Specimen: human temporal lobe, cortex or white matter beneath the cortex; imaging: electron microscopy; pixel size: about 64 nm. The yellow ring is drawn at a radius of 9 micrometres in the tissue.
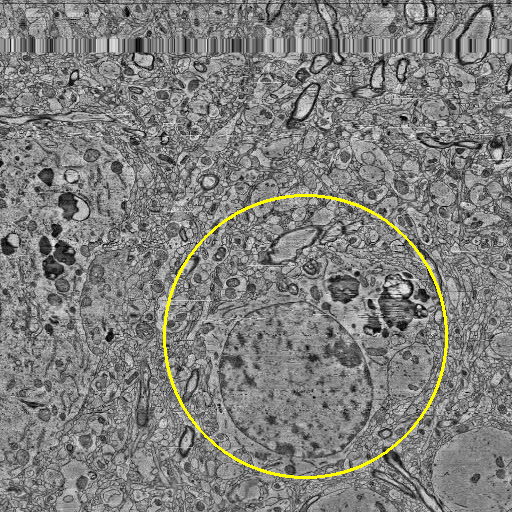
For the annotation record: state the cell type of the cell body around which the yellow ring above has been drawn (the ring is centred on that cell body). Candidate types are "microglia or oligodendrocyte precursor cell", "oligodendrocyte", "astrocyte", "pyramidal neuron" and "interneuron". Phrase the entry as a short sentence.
The ringed cell is an astrocyte.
